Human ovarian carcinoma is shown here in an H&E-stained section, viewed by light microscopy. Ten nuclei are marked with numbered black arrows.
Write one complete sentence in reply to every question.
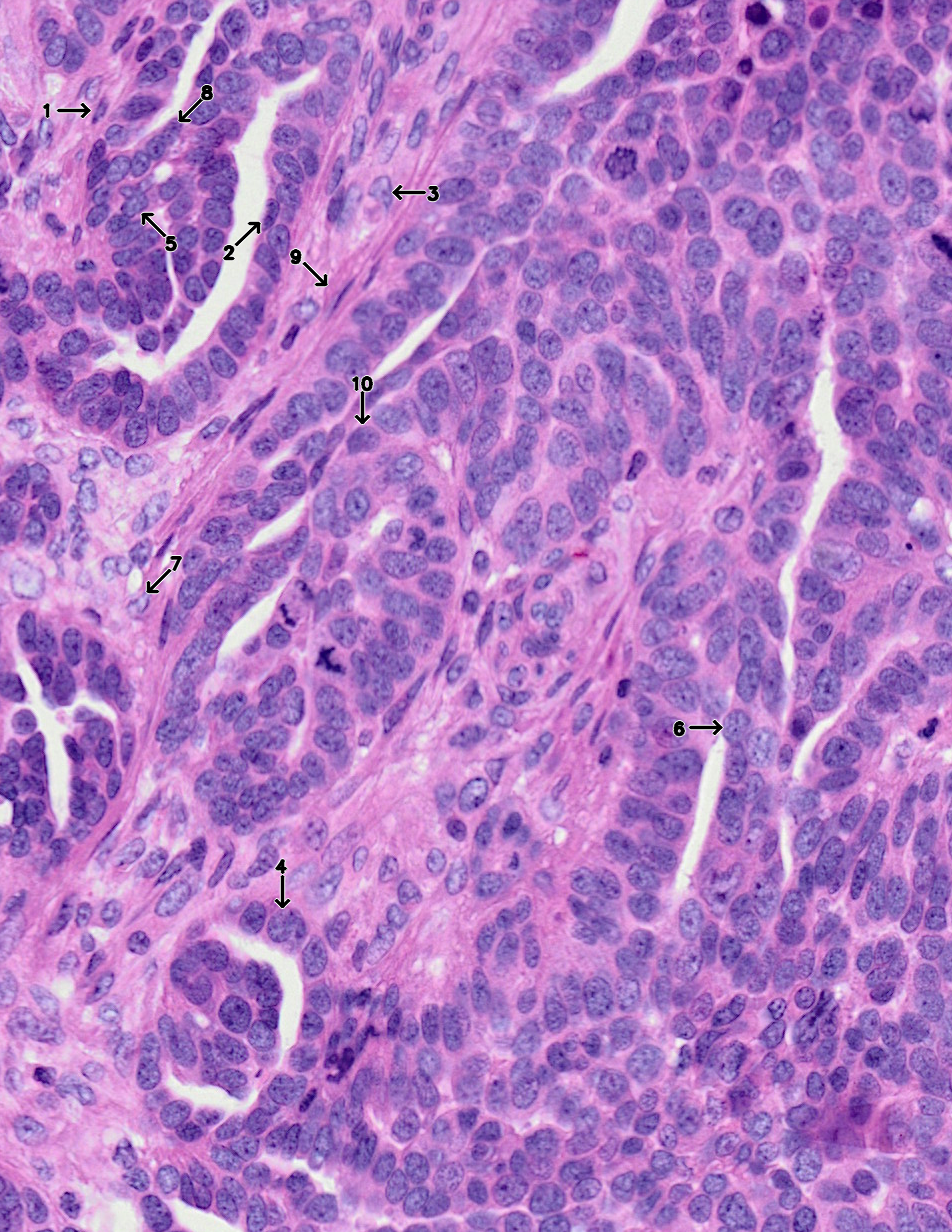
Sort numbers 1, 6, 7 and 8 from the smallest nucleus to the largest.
By area, going up from the smallest, they rank 1, 8, 7, 6.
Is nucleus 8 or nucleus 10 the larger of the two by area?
Nucleus 10 is the larger one, covering about 2 times the area of nucleus 8.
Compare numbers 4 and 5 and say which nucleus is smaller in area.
It is nucleus 5; nucleus 4 has about 2.5 times its area.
